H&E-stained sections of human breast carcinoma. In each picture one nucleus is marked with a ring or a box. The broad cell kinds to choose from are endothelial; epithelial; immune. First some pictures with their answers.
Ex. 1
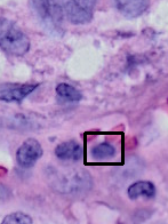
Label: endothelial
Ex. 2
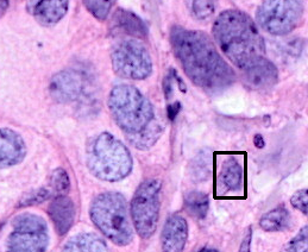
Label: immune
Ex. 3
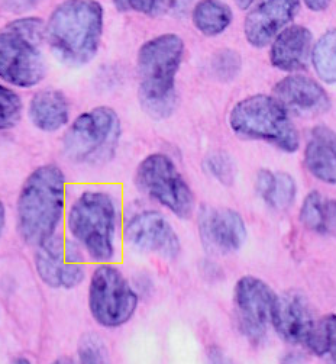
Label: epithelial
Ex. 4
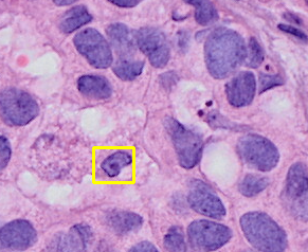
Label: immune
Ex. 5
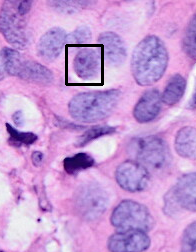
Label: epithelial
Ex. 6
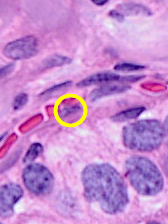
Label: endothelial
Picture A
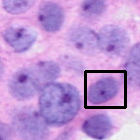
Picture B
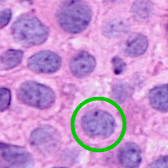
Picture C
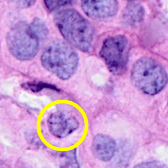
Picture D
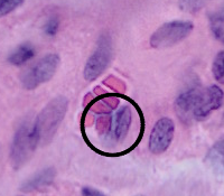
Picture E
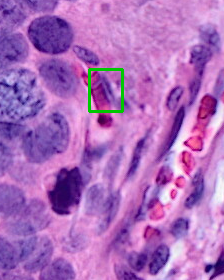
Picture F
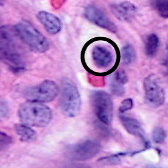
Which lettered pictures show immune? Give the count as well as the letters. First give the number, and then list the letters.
2: C, F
